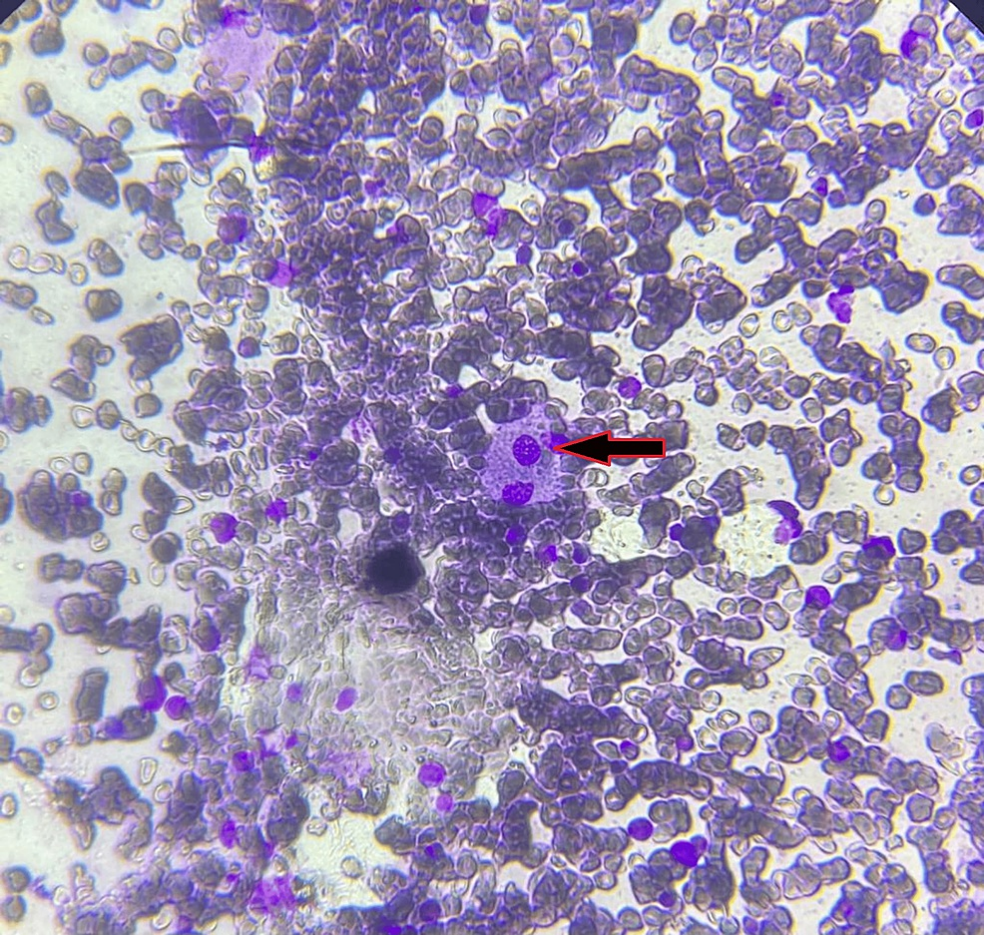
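Bone marrow preparation with a large macrophage near the centre, set among densely packed red cells and scattered small purple-stained nucleated marrow cells. The macrophage is several times the diameter of the neighbouring nucleated cells. Its cytoplasm is abundant and pale lilac. The red cells lie crowded and overlapping across most of the field, thinning towards the margins.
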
